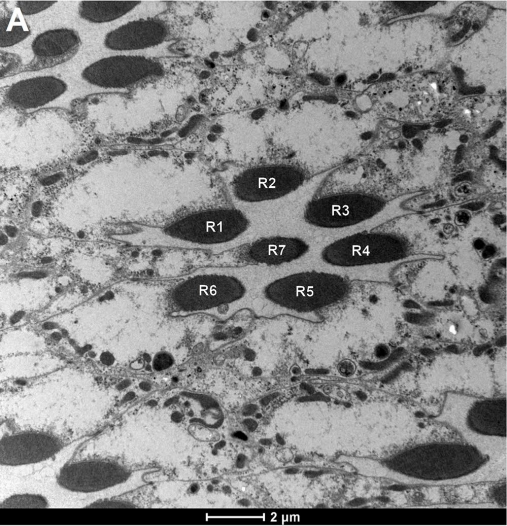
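This electron micrograph shows an ommatidium of the fly retina in cross-section, with the photoreceptor neurons grouped in a tight cluster. Seven dark, finely textured oval profiles lie around a narrow pale central space, six at the rim and a smaller one in the middle. The profiles are smooth-edged and evenly dense. Thin pale cytoplasmic extensions run out between them into the surrounding tissue. Around the cluster lie cytoplasm with small dark granules and membrane-bound bodies, and parts of neighbouring ommatidia with the same dark oval profiles appear at the edges.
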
